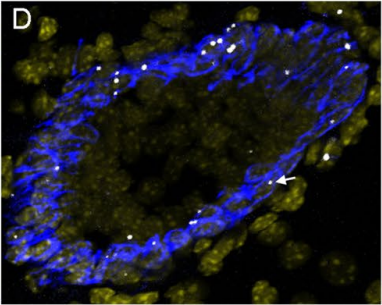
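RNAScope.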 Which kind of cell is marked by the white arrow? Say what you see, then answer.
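The arrow points to a cell within the outer blue-outlined layer of the duct.
Basal cell.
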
